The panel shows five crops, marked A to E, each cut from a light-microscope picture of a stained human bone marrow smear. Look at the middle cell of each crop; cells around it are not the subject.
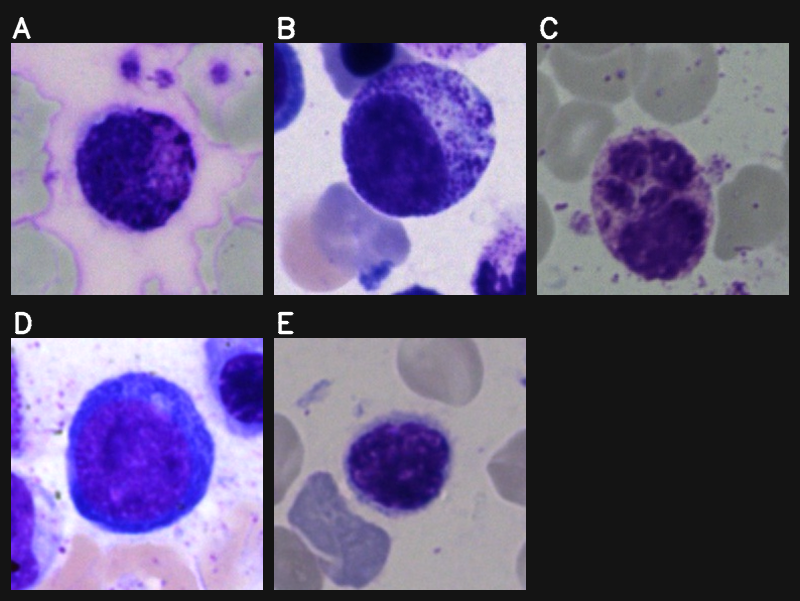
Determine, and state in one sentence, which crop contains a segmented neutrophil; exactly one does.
The correct choice is crop C, the one showing a segmented neutrophil.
